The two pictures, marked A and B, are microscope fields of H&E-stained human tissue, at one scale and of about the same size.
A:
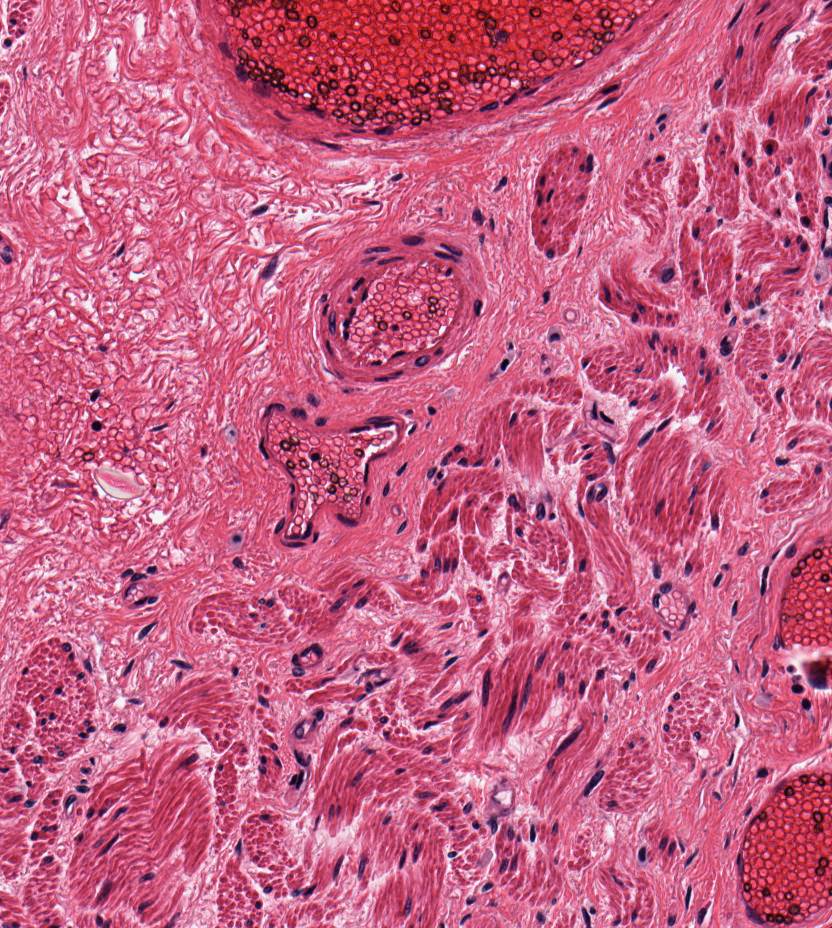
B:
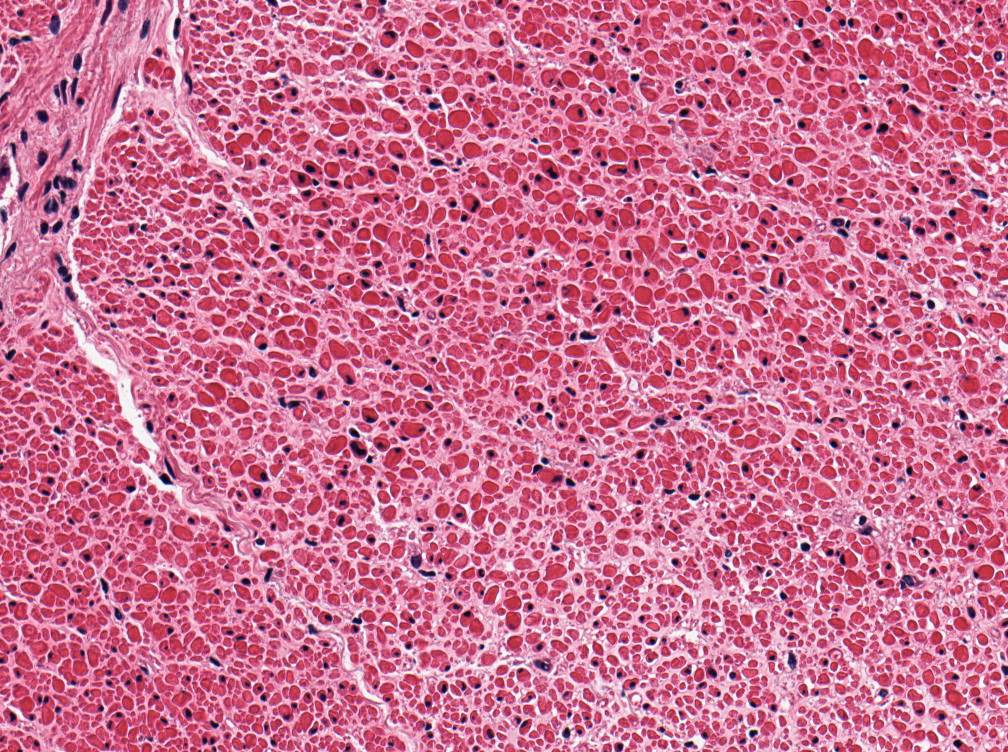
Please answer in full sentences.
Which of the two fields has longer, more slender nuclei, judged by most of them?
The nuclei are more elongated in field A.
